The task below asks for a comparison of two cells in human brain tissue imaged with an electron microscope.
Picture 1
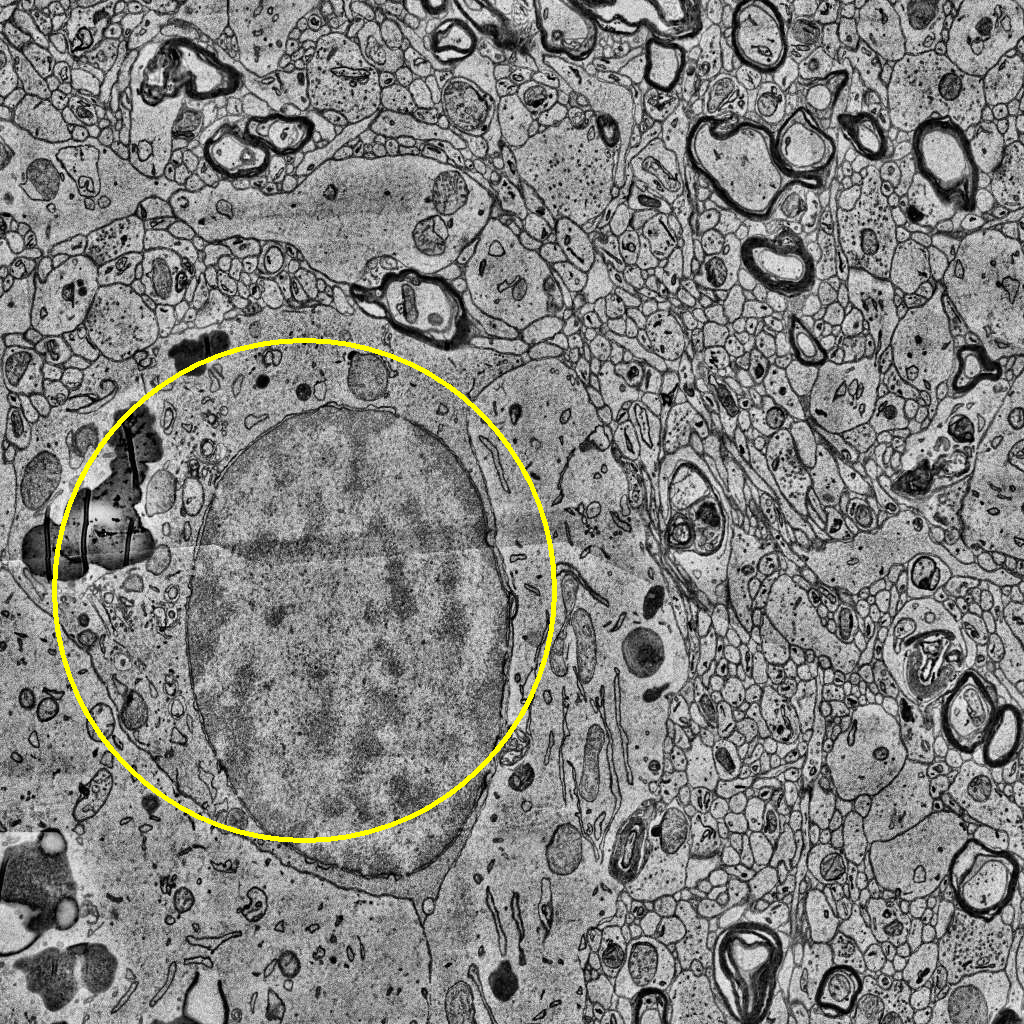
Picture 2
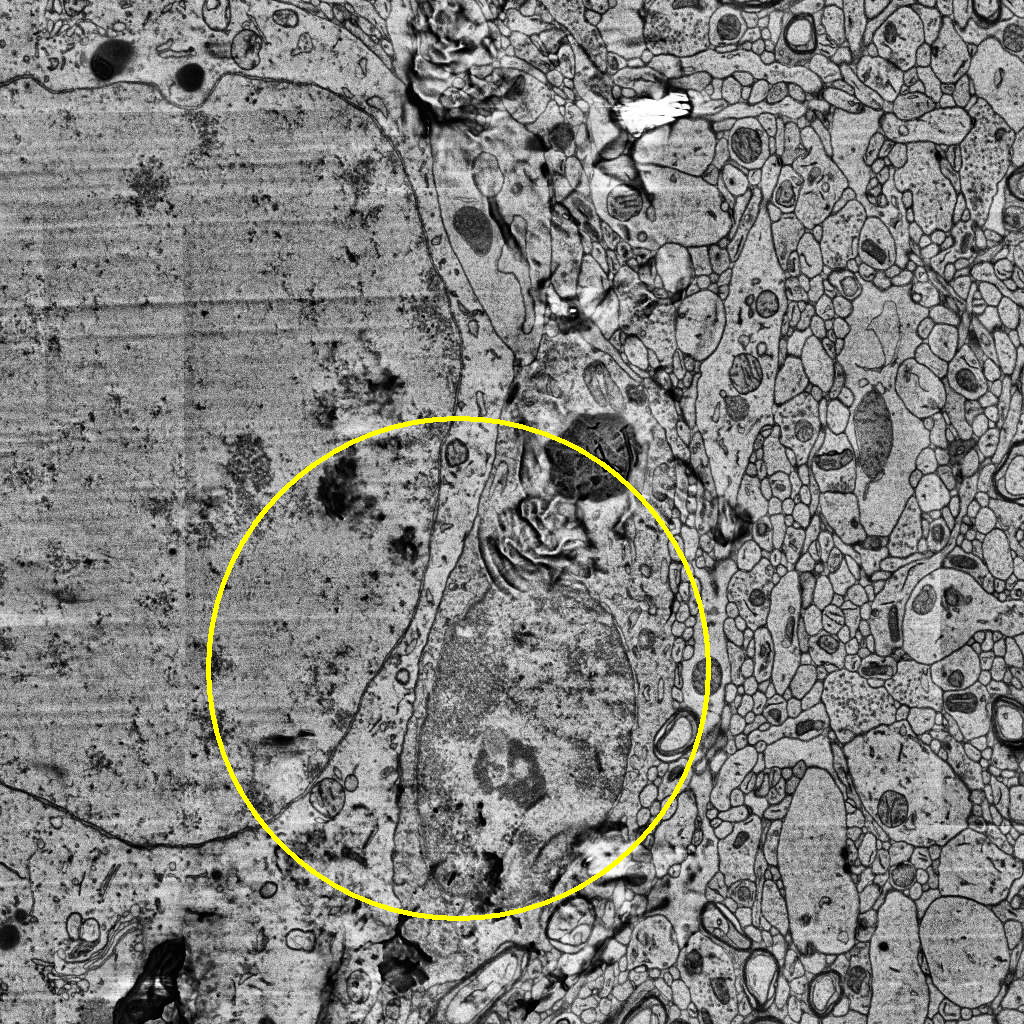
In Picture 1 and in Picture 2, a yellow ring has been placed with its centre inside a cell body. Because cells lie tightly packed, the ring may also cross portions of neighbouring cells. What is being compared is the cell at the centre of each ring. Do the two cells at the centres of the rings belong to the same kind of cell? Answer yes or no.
yes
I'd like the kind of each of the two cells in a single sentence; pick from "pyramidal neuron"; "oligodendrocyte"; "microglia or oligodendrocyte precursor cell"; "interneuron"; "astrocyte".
The cell in the first picture is an oligodendrocyte, and so is the one in the second.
